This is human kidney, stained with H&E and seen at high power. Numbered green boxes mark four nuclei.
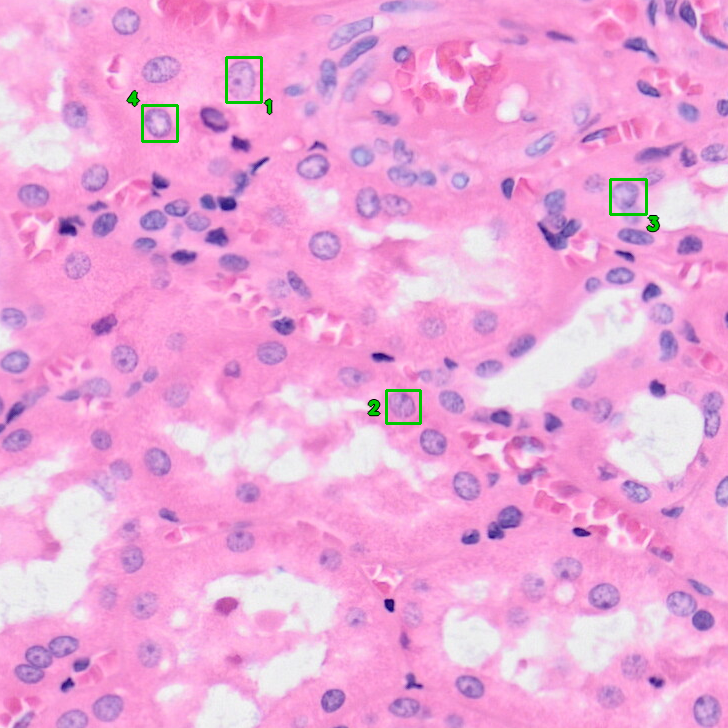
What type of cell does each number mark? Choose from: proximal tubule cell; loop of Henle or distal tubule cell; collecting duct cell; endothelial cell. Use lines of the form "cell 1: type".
cell 1: proximal tubule cell
cell 2: proximal tubule cell
cell 3: collecting duct cell
cell 4: proximal tubule cell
